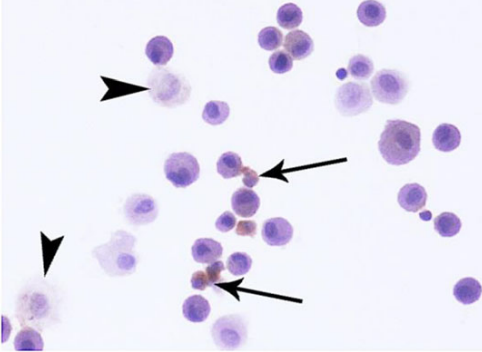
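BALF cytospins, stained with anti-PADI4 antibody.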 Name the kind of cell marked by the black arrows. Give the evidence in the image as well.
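Polymorphonuclear leukocytes. The marked cells are small. Their cytoplasm is stained brown.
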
